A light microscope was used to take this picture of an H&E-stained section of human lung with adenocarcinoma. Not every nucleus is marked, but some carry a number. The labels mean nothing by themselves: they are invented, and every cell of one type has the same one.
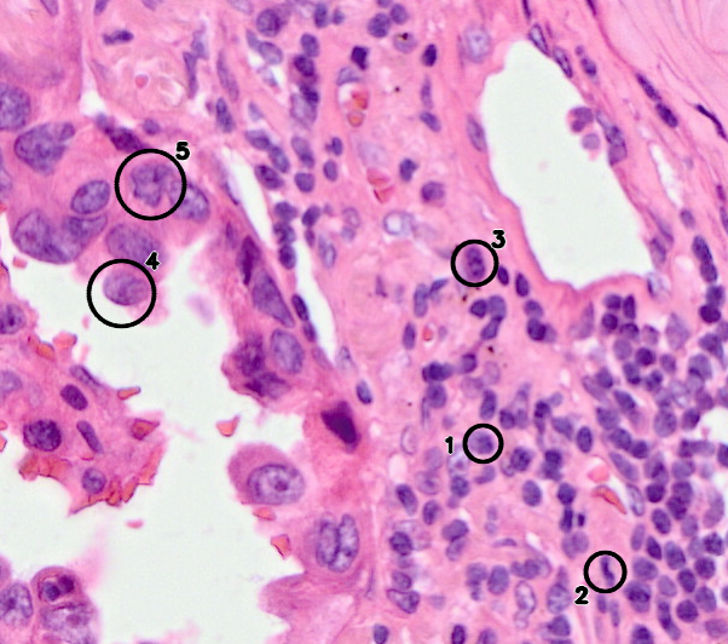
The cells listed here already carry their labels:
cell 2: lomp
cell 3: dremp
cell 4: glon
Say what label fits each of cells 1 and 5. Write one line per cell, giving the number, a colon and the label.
1: lomp
5: glon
